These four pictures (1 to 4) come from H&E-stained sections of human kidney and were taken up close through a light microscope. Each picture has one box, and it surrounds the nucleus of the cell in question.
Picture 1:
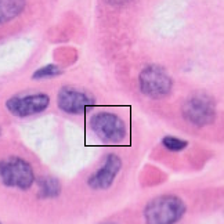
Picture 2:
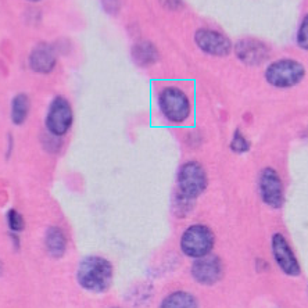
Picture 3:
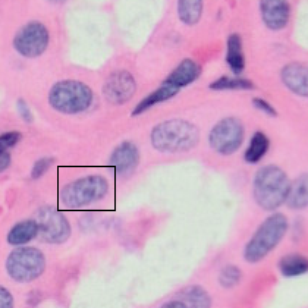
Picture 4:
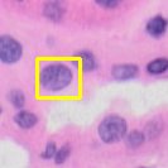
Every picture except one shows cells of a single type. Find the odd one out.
2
